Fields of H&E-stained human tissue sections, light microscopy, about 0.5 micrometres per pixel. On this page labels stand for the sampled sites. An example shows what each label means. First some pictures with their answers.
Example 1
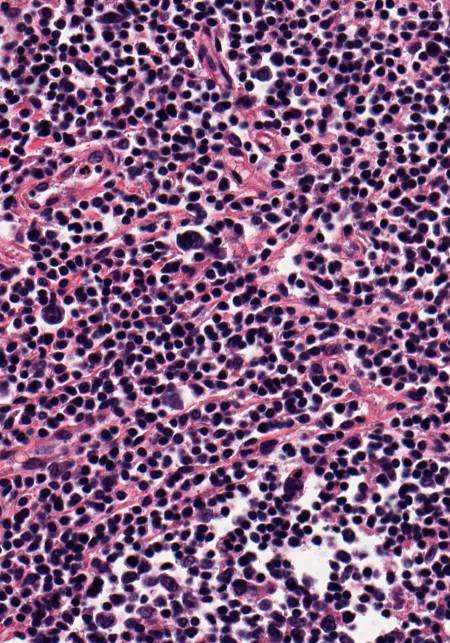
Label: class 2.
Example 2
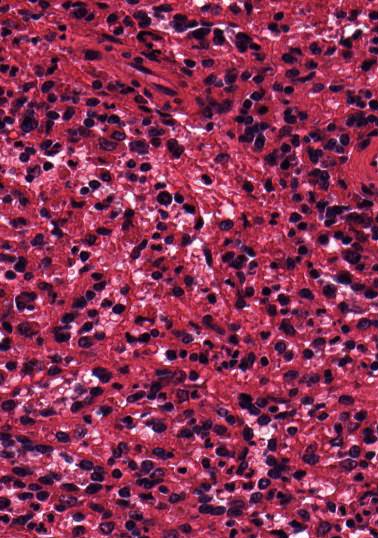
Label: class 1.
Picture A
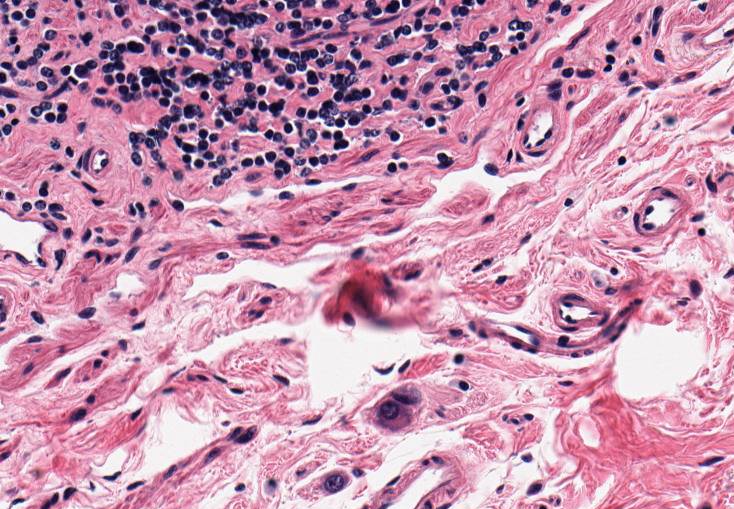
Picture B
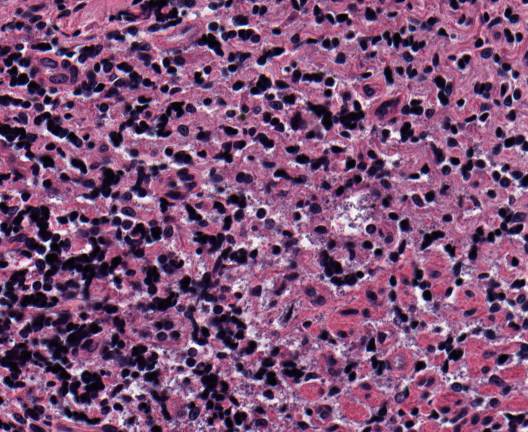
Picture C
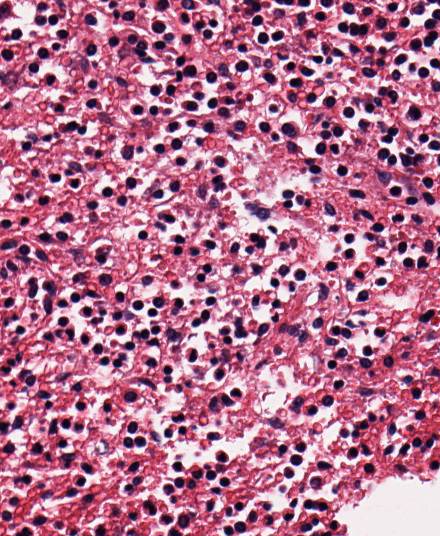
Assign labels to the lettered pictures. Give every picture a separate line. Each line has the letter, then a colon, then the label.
A: class 2.
B: class 2.
C: class 1.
